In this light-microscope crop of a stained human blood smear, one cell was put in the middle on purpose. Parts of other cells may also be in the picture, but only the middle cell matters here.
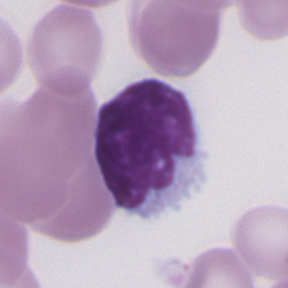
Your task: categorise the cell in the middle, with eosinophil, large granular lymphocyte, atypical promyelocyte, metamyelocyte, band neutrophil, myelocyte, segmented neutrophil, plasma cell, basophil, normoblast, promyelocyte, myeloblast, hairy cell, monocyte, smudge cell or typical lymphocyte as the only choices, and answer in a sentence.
Answering briefly, the cell in the middle is a typical lymphocyte.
